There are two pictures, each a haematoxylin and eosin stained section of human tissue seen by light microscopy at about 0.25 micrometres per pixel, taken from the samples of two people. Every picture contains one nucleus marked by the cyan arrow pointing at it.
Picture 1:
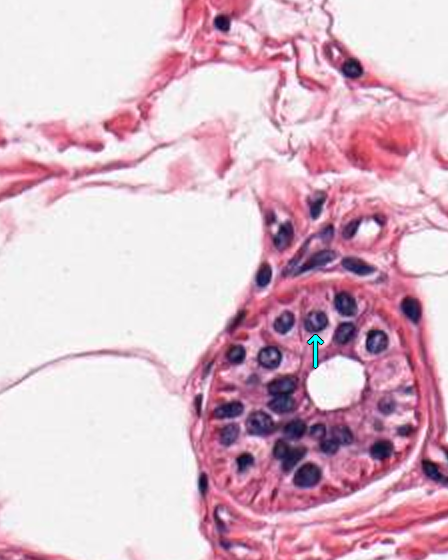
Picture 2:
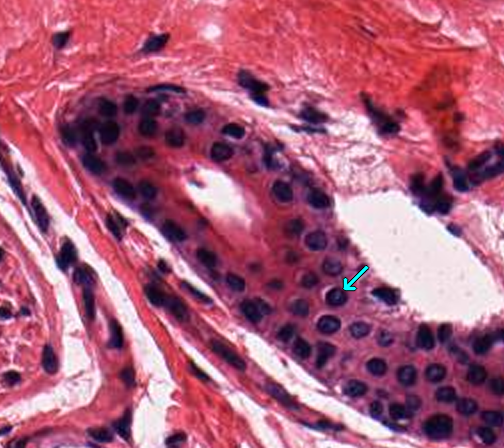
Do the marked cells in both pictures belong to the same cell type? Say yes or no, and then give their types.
Yes, both are sweat gland cells.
